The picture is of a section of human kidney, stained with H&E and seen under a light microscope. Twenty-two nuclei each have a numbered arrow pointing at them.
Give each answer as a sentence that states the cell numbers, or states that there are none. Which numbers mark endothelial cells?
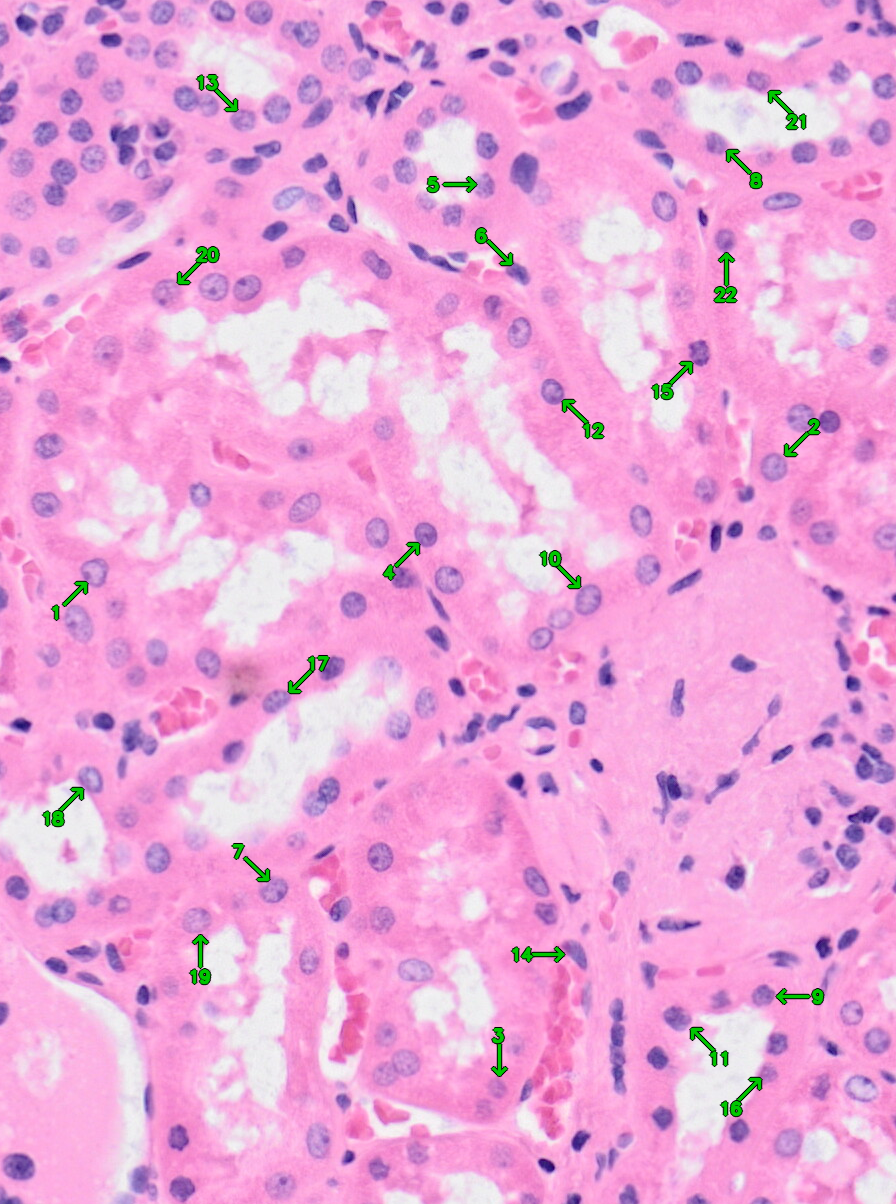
The cells that bear the numbers 6 and 14 are endothelial cells.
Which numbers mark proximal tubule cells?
By cell type, the cells numbered 1, 2, 3, 4, 7, 10, 12, 15, 19, 20 and 22 are proximal tubule cells.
